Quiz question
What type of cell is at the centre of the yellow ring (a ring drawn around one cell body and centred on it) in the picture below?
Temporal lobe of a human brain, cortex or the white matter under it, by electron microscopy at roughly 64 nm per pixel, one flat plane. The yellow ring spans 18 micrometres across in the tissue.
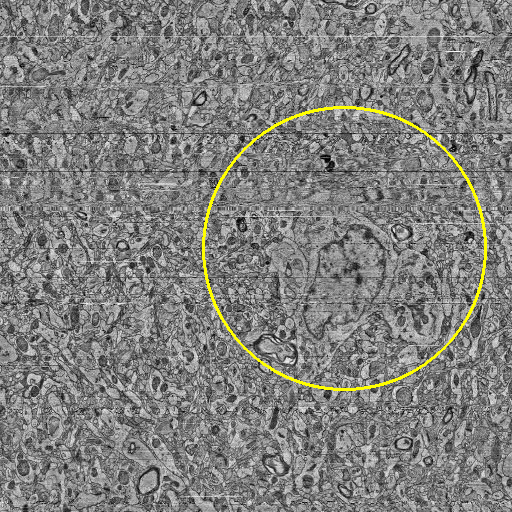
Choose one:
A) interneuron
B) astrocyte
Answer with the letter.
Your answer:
A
